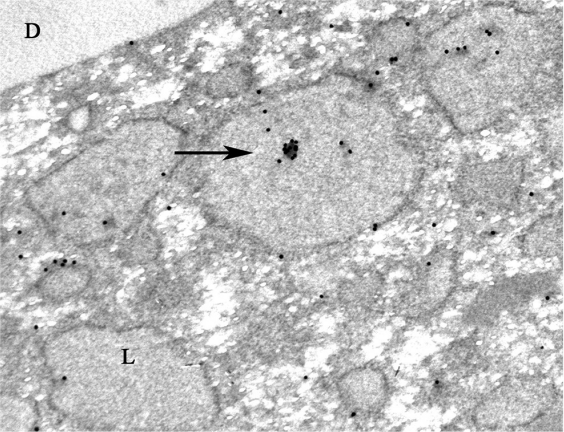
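Several large, round to oval lipid vacuoles with pale, homogeneous, finely granular content are bounded by a thin darker rim and lie close together. Between them the cytoplasm is patchy, with dense granular areas alternating with pale, flocculent, washed-out spaces. Small round black gold particles are scattered through the cytoplasm and along the vacuole margins, and one tight cluster of several particles lies within a lipid vacuole.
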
